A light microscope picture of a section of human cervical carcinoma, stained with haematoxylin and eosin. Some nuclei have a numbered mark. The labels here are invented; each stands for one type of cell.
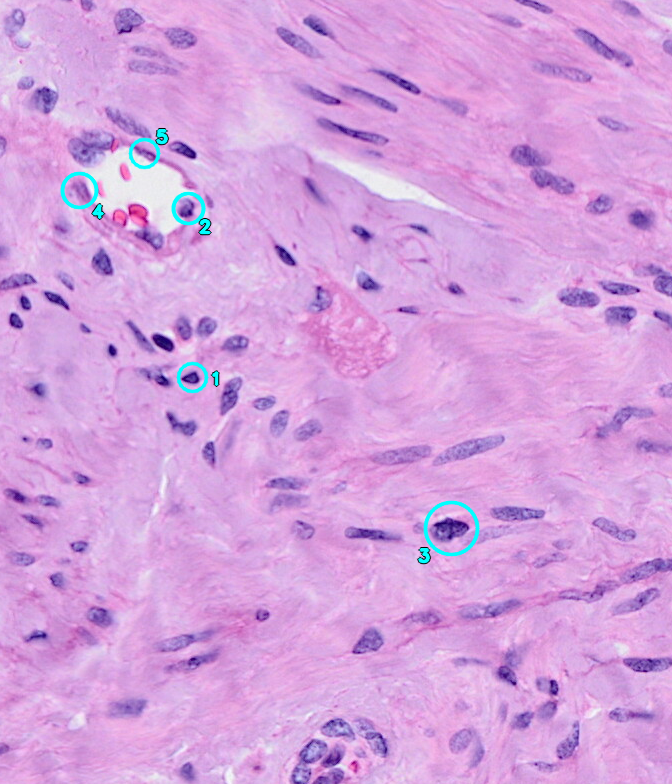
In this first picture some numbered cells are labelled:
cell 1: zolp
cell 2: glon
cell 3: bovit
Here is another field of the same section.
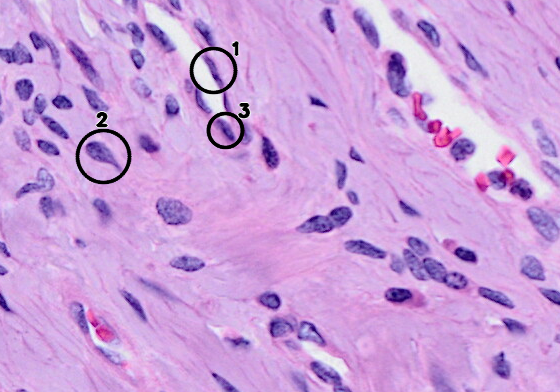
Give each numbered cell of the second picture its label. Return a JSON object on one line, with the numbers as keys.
{"1": "glon", "2": "zolp", "3": "glon"}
